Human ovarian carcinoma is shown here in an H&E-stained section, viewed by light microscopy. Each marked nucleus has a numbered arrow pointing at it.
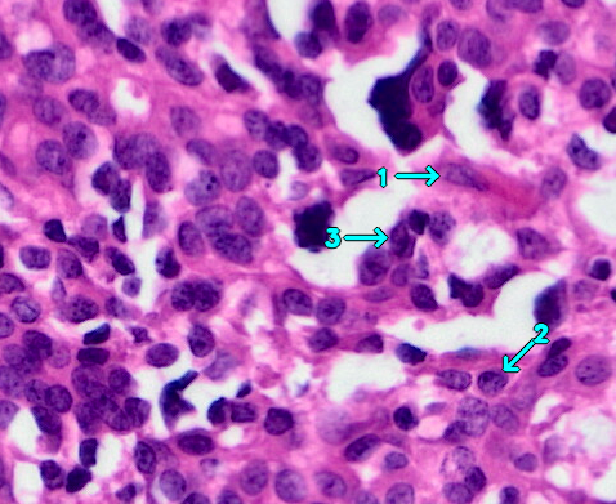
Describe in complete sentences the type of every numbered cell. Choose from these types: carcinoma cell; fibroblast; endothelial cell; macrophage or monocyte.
Cell 1 is an endothelial cell. Cell 2 is a macrophage or monocyte. Cell 3 is a carcinoma cell.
